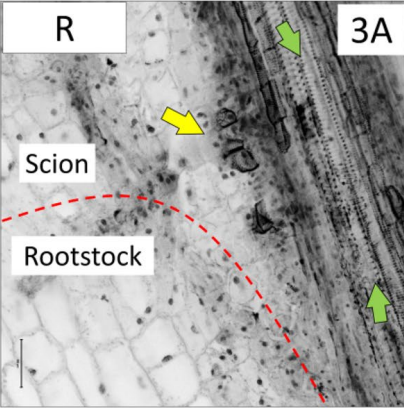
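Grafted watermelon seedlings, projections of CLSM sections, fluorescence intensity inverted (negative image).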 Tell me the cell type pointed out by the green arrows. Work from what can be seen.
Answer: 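Initial xylem vessels. Long, straight, parallel files of elongated cells. Walls show regular dotted or banded thickening along their length.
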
